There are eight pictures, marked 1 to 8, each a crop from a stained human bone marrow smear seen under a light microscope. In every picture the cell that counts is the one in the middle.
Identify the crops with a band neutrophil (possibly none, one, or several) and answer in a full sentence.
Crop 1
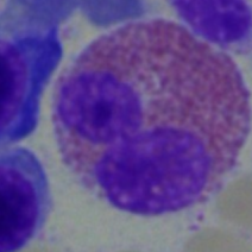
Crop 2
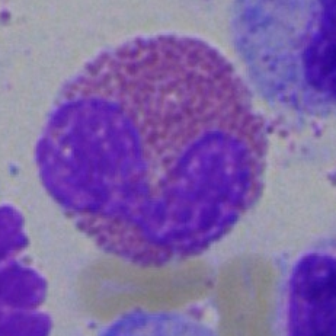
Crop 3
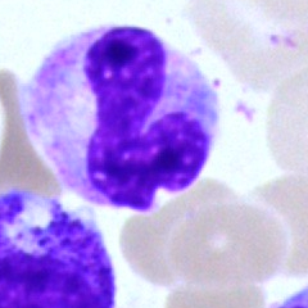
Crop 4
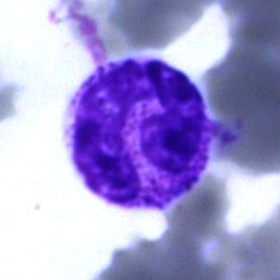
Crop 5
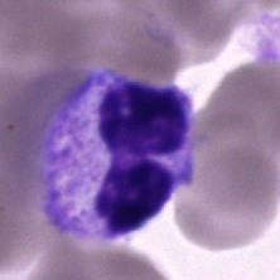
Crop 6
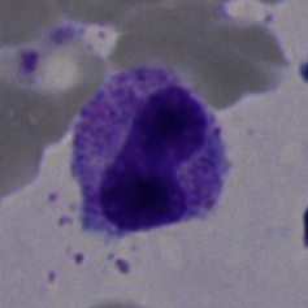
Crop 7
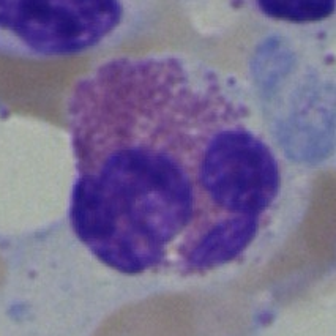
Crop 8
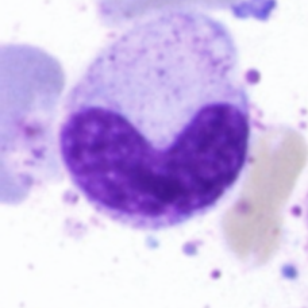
The target cells in crops 4, 6 and 8 are band neutrophils.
